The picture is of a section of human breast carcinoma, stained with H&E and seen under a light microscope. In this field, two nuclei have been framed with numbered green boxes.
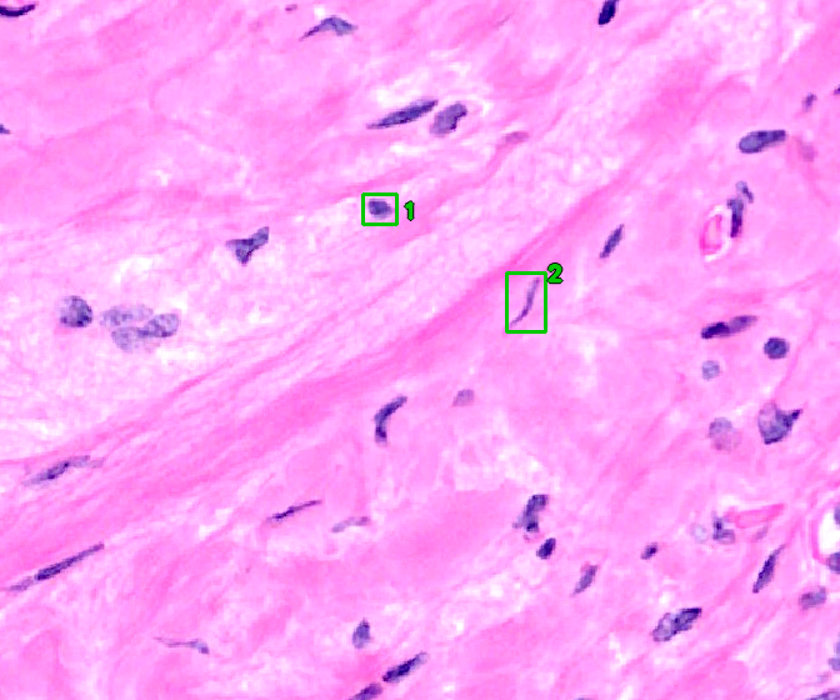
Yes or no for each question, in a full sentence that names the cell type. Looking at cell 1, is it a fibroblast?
No, number 1 is assigned to a lymphocyte, not to a fibroblast.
